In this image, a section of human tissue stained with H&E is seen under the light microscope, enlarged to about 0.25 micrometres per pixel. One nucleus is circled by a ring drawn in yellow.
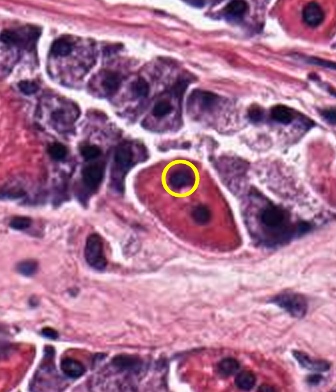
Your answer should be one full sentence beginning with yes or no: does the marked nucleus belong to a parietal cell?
Yes, the marked nucleus represents the nucleus of a parietal cell.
